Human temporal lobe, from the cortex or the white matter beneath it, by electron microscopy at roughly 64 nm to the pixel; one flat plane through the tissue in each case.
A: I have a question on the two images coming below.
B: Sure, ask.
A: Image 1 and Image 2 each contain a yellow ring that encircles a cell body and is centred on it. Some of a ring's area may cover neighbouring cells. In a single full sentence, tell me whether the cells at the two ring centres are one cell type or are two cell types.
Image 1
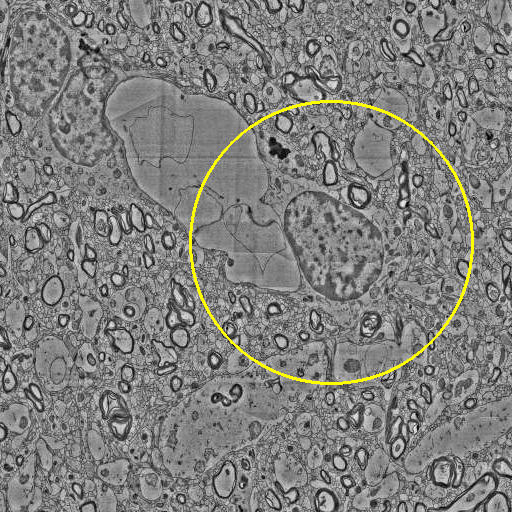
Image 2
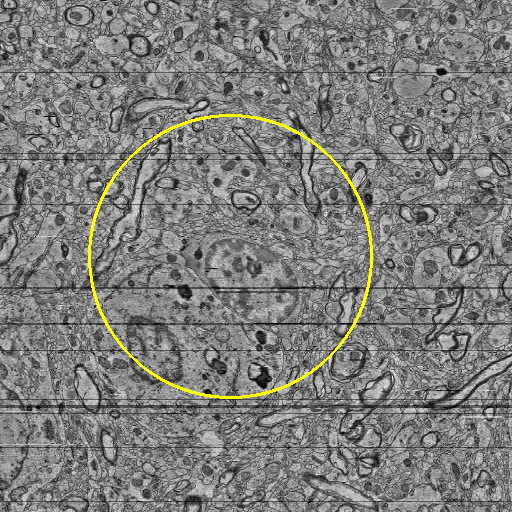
As for the ring-centre cells, the one in Image 1 and the one in Image 2 are two cell types.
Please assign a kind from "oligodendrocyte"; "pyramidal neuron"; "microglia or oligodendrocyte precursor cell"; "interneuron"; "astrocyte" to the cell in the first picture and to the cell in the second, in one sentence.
In the first picture we have a microglial cell or oligodendrocyte precursor cell, and in the second, an oligodendrocyte.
